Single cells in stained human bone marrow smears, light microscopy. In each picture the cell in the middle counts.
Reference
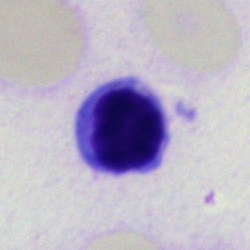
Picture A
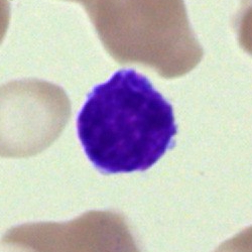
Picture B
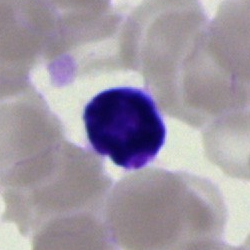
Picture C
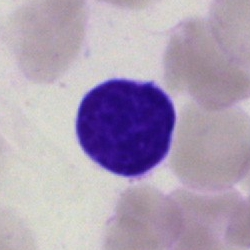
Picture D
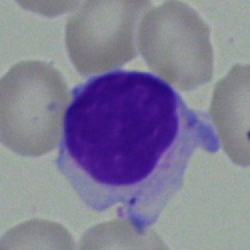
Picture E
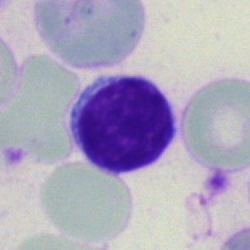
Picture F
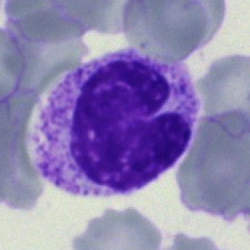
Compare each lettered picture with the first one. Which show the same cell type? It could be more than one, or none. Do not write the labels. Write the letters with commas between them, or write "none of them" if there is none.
A, B, C, D, E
